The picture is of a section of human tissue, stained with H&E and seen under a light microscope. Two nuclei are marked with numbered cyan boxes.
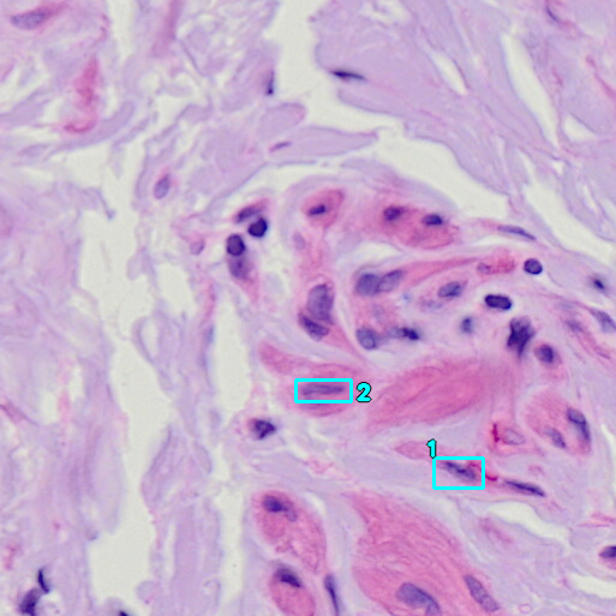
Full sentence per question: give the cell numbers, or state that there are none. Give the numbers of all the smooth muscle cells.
Cell 2 is a smooth muscle cell, and this holds for no other numbered cell.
